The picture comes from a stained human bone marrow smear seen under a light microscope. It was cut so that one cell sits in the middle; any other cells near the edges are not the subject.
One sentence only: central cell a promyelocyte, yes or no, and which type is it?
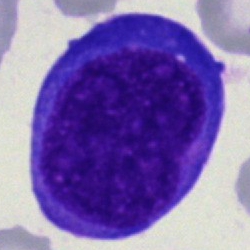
No, the central cell is a proerythroblast, not a promyelocyte.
